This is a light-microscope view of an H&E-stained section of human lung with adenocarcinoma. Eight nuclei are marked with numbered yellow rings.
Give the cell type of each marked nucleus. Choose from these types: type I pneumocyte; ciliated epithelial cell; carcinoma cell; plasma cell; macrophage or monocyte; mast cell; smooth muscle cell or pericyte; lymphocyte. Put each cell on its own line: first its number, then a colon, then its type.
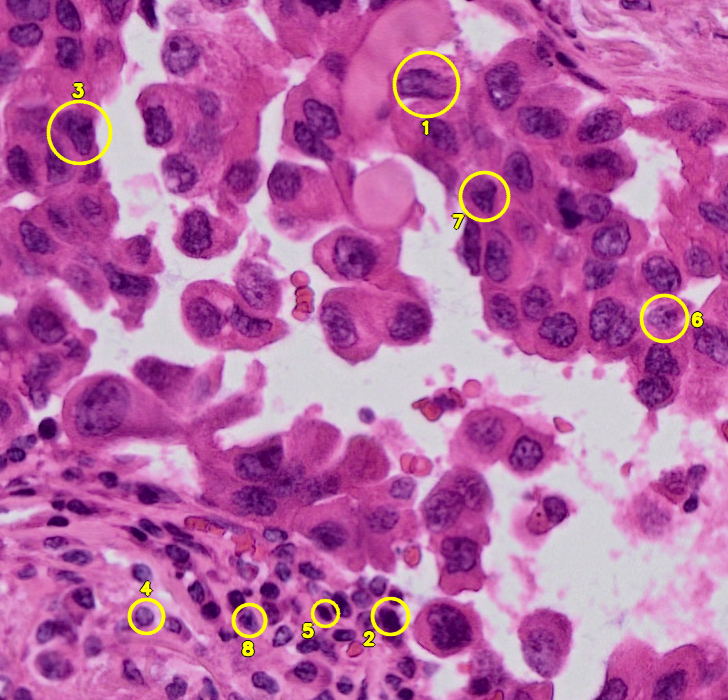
1: carcinoma cell
2: lymphocyte
3: carcinoma cell
4: lymphocyte
5: lymphocyte
6: carcinoma cell
7: carcinoma cell
8: lymphocyte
